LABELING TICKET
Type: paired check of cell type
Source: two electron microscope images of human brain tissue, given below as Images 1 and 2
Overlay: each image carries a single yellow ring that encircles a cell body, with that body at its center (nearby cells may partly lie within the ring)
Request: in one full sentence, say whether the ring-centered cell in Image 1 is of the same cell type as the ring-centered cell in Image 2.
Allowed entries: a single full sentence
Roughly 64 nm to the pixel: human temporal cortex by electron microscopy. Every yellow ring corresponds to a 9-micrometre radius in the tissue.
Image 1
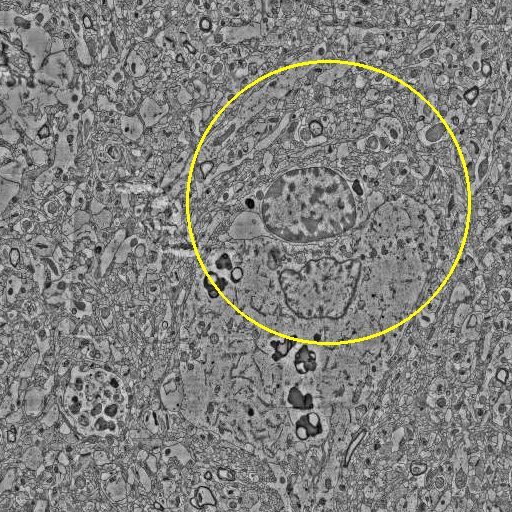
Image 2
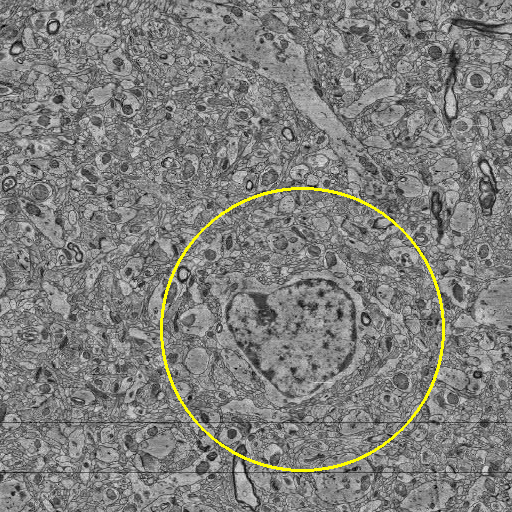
Yes, the cells centered in the rings of Image 1 and Image 2 share one type.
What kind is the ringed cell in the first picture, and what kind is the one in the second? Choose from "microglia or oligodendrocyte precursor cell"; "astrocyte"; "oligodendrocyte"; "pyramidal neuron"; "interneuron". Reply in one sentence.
In each of the two pictures, the ringed cell is a microglial cell or oligodendrocyte precursor cell.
